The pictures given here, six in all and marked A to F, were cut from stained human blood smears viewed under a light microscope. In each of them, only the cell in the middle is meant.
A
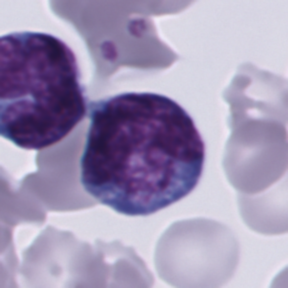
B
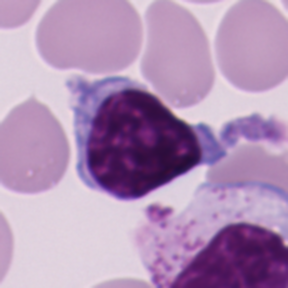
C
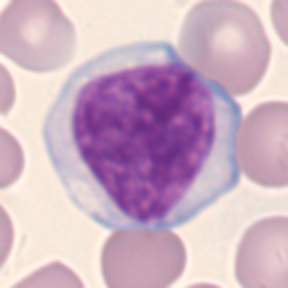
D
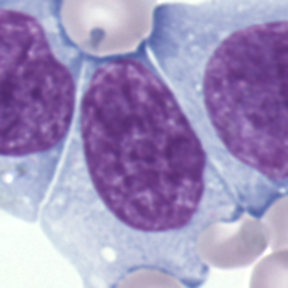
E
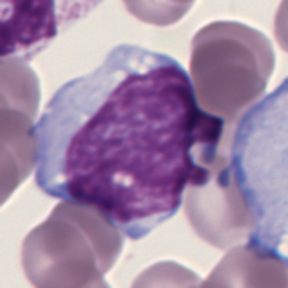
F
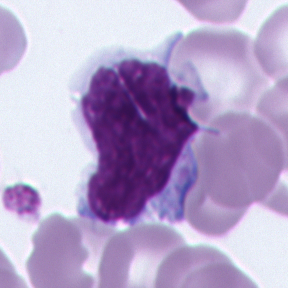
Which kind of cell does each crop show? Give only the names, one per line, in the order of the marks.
typical lymphocyte
typical lymphocyte
myeloblast
myeloblast
myeloblast
typical lymphocyte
